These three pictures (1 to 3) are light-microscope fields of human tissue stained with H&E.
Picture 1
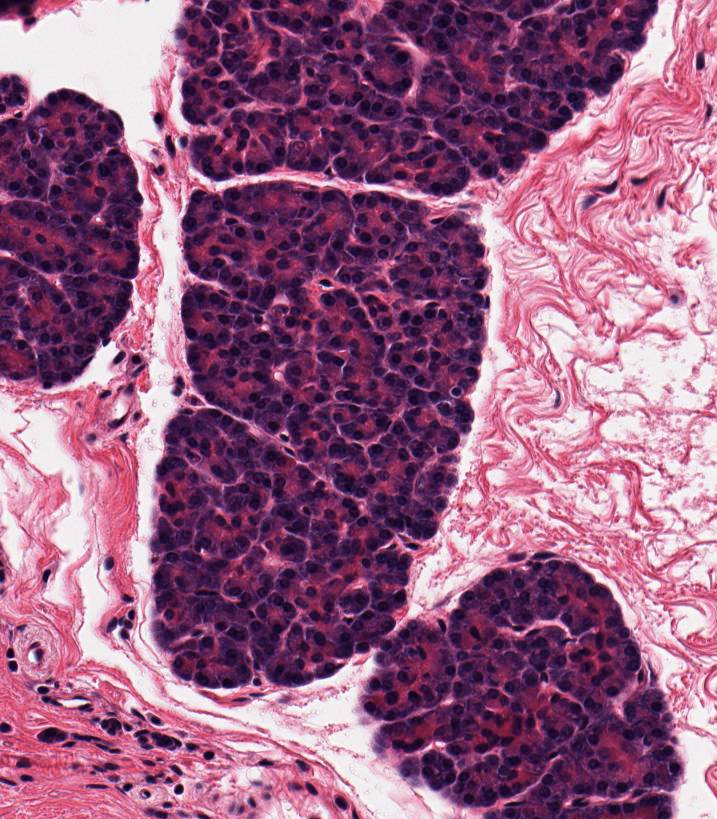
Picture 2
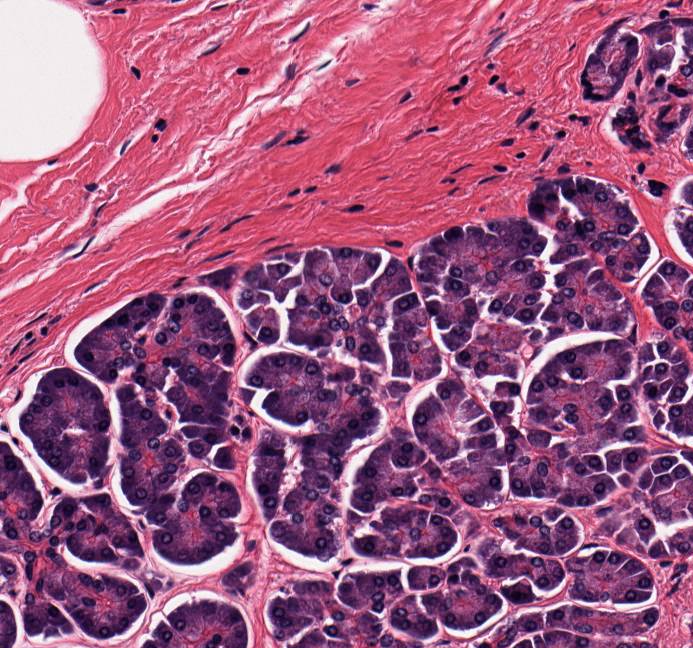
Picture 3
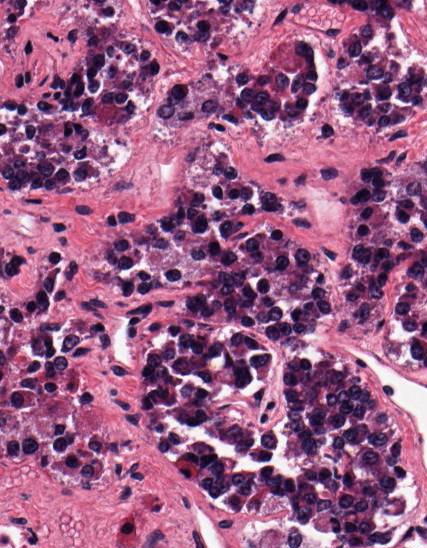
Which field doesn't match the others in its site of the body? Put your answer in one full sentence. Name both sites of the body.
All pictures except 3 come from the pancreas; picture 3 comes from the pituitary.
